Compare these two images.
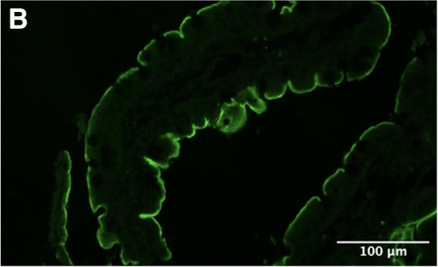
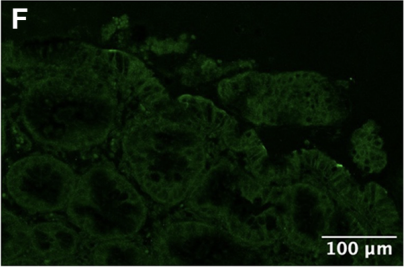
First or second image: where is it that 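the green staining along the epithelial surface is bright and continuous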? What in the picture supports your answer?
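Second image: green staining is faint and diffuse, with no bright continuous surface line. First image: a bright green line runs along the luminal border of the epithelium.
The first image.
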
